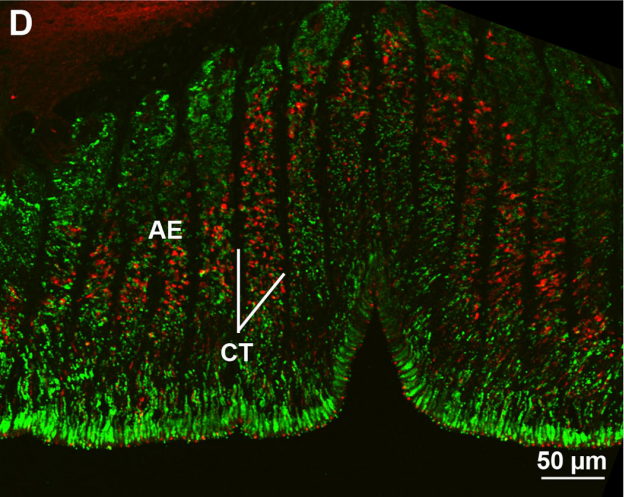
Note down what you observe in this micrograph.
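This is a fluorescent longitudinal section through the thick adhesive epidermis of a tube foot disc. The epidermis is divided into vertical columns by dark, unlabelled strands of connective tissue running from the top towards the surface. Within the columns lie many small green and red granules. Red granules are most numerous in the middle and upper parts of the columns. Green granules are scattered throughout and crowd into a bright band of elongated streaks, perpendicular to the free surface, along the bottom edge. A narrow median notch indents the surface in the middle.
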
